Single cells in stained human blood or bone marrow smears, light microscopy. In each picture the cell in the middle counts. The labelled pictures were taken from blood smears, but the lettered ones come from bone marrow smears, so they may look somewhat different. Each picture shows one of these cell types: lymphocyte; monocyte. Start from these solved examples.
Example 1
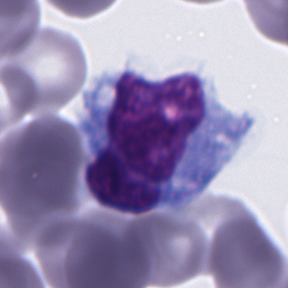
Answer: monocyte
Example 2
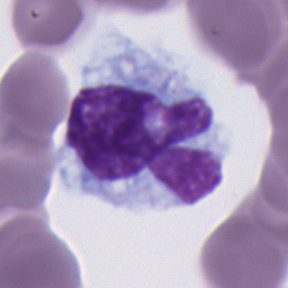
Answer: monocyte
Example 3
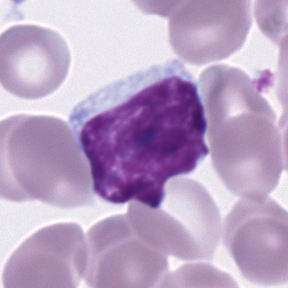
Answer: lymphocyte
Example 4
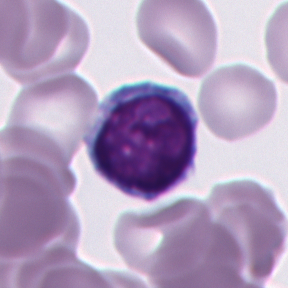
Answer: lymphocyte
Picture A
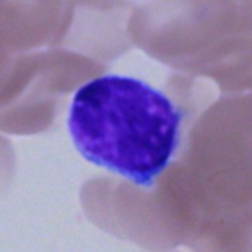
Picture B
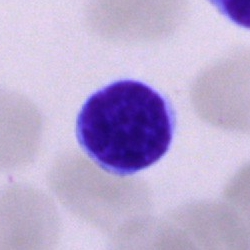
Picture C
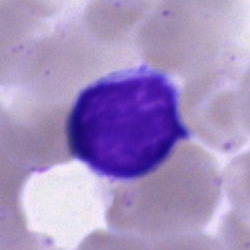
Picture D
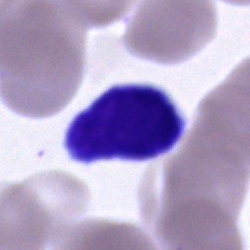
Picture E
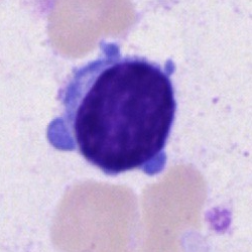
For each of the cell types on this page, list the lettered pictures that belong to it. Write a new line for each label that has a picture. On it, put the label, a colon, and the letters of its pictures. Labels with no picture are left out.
lymphocyte: A, B, C, D, E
